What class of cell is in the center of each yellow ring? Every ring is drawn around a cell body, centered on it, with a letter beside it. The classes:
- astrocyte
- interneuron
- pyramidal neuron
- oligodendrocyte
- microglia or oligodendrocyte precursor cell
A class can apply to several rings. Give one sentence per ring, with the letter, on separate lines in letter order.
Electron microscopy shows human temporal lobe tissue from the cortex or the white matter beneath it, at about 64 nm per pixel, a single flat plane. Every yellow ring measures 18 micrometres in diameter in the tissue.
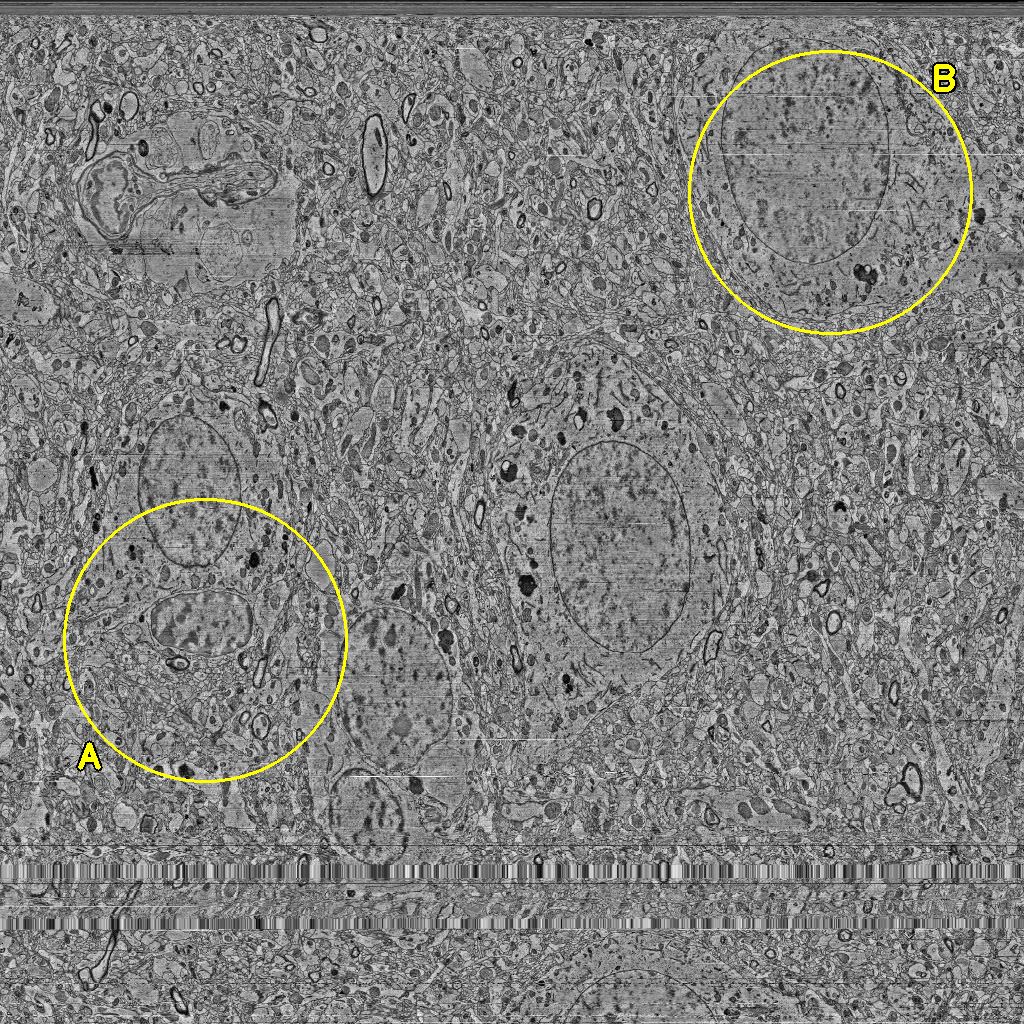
Ring A holds a microglial cell or oligodendrocyte precursor cell at its center.
Ring B holds a pyramidal neuron at its center.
